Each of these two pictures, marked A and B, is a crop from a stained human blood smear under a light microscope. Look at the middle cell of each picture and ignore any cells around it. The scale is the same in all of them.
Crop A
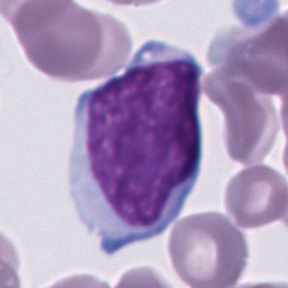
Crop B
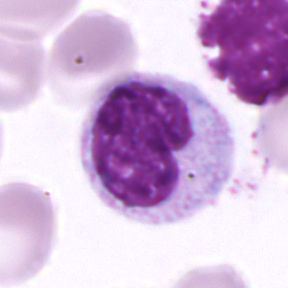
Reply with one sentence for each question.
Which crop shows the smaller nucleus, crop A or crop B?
Smaller is the nucleus in crop B, and the other is about 1.5 times as large in area.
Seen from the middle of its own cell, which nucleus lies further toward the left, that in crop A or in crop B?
It is the nucleus in crop B that lies further toward the left of its cell.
